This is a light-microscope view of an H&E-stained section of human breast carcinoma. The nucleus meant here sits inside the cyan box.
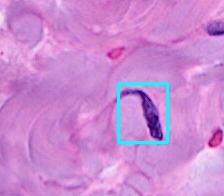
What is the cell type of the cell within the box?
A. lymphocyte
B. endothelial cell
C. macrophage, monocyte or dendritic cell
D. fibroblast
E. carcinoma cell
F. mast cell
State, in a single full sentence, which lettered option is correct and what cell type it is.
Option D is the right choice, for the cell within the box is a fibroblast.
